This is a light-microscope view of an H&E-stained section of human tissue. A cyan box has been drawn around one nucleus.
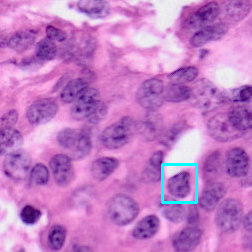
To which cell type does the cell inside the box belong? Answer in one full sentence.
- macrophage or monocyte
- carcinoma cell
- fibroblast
For the purposes of cell typing, the cell inside the box is categorized as a macrophage or monocyte.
